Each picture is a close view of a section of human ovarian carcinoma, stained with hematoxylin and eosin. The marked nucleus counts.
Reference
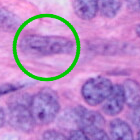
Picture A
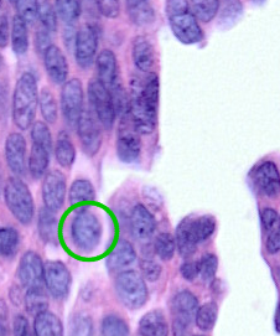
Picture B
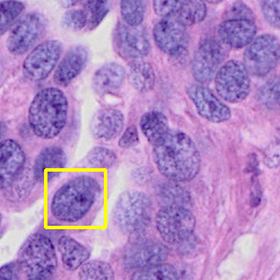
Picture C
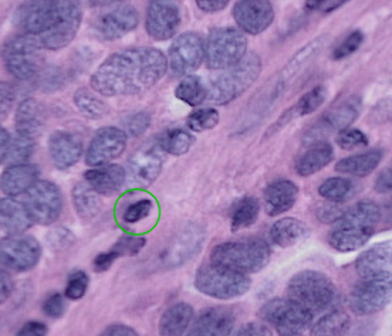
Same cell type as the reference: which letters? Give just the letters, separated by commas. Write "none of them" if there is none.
none of them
